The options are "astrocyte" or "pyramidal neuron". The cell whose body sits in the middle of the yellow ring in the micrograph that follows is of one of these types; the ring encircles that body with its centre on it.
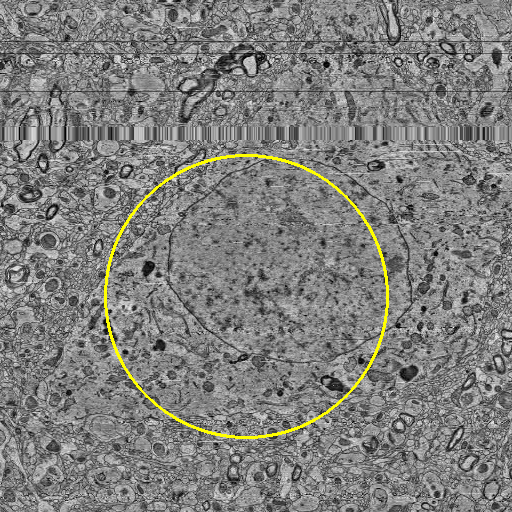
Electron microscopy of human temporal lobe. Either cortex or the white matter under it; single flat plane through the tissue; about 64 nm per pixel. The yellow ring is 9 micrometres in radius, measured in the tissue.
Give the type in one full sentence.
Going by the micrograph, the cell centred in the yellow ring is a pyramidal neuron.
